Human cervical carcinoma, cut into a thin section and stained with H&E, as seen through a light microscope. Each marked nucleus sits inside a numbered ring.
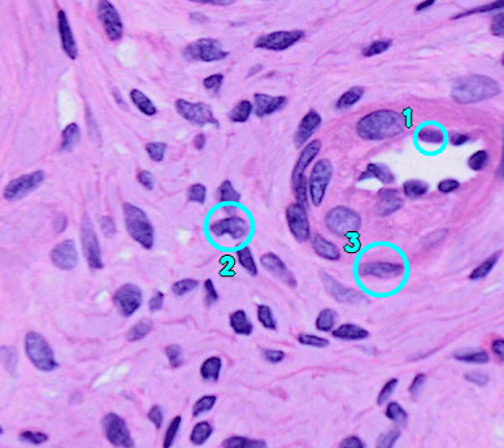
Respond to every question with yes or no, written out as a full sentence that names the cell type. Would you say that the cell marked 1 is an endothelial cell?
Yes, exactly, the cell numbered 1 is an endothelial cell.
